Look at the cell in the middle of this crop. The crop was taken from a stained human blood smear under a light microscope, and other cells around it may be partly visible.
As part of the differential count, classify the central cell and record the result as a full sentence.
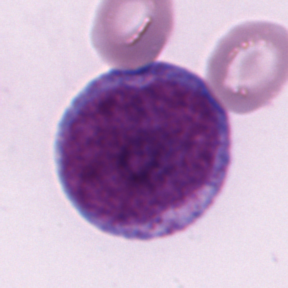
The centrally placed cell is classified as a promyelocyte.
